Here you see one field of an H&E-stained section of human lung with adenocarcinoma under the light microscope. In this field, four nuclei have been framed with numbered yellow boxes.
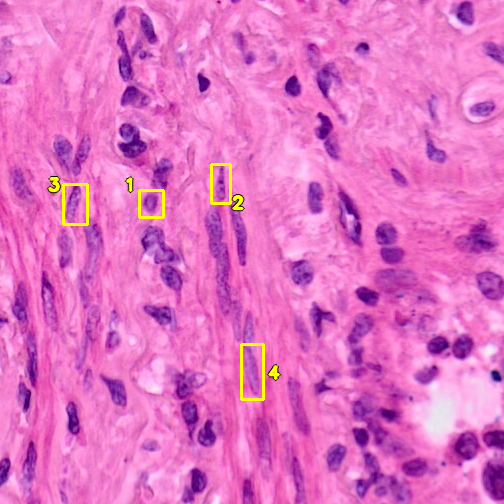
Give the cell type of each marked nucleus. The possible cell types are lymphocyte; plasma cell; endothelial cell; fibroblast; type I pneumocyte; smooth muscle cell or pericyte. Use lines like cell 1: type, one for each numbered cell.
cell 1: lymphocyte
cell 2: smooth muscle cell or pericyte
cell 3: smooth muscle cell or pericyte
cell 4: smooth muscle cell or pericyte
